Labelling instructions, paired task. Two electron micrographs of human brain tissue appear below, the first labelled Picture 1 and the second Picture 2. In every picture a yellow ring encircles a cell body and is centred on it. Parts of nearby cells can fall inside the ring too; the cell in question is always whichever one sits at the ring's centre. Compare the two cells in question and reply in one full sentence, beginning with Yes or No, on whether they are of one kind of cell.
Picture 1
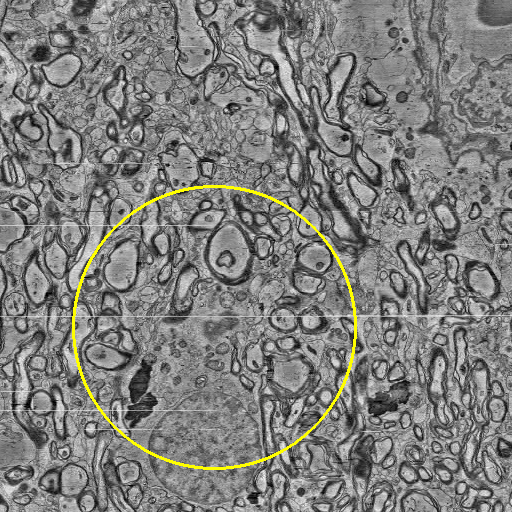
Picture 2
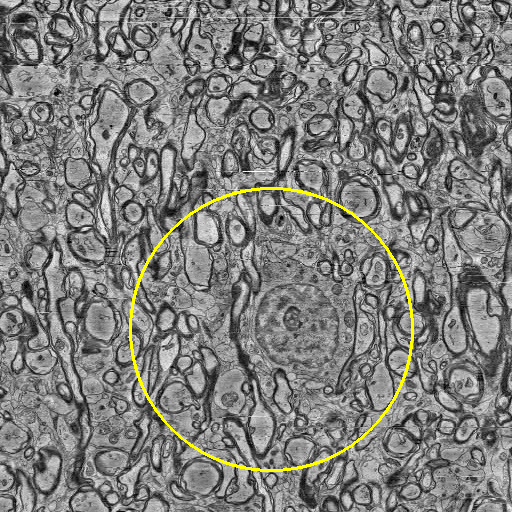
Yes, the two cells at the ring centres in Picture 1 and Picture 2 are of one kind.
